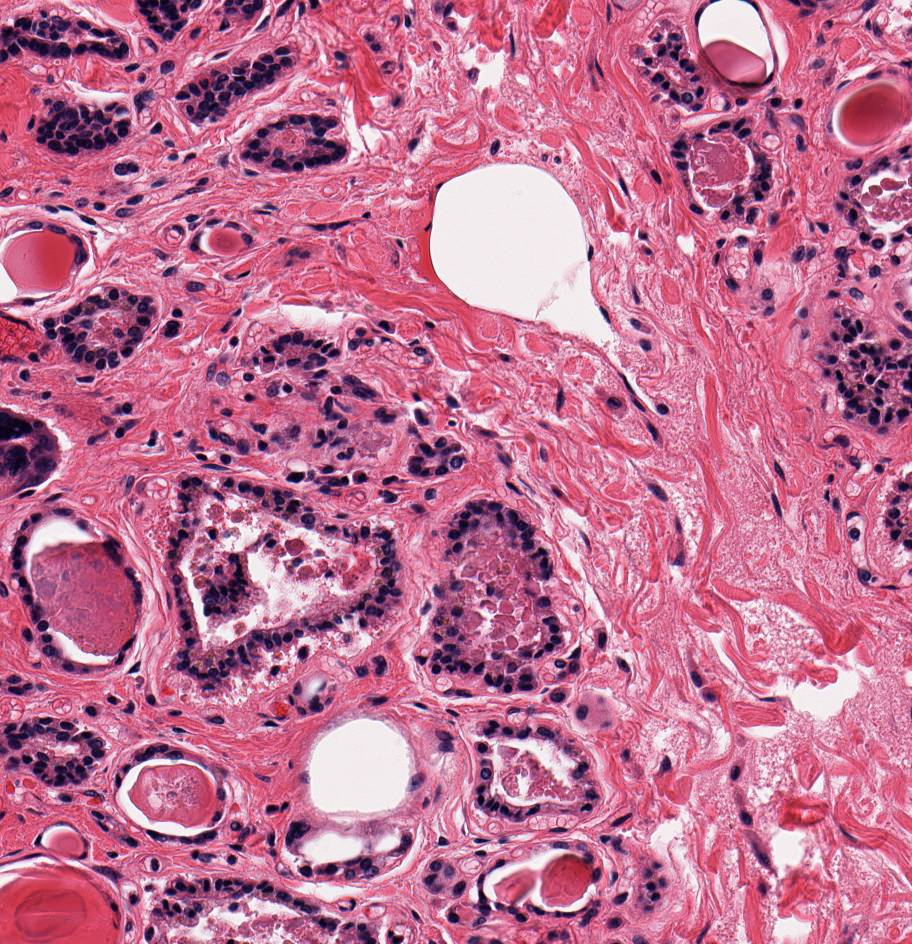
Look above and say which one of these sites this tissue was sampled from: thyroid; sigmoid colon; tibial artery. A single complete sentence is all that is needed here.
The tissue seen in this section was sampled from the thyroid.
